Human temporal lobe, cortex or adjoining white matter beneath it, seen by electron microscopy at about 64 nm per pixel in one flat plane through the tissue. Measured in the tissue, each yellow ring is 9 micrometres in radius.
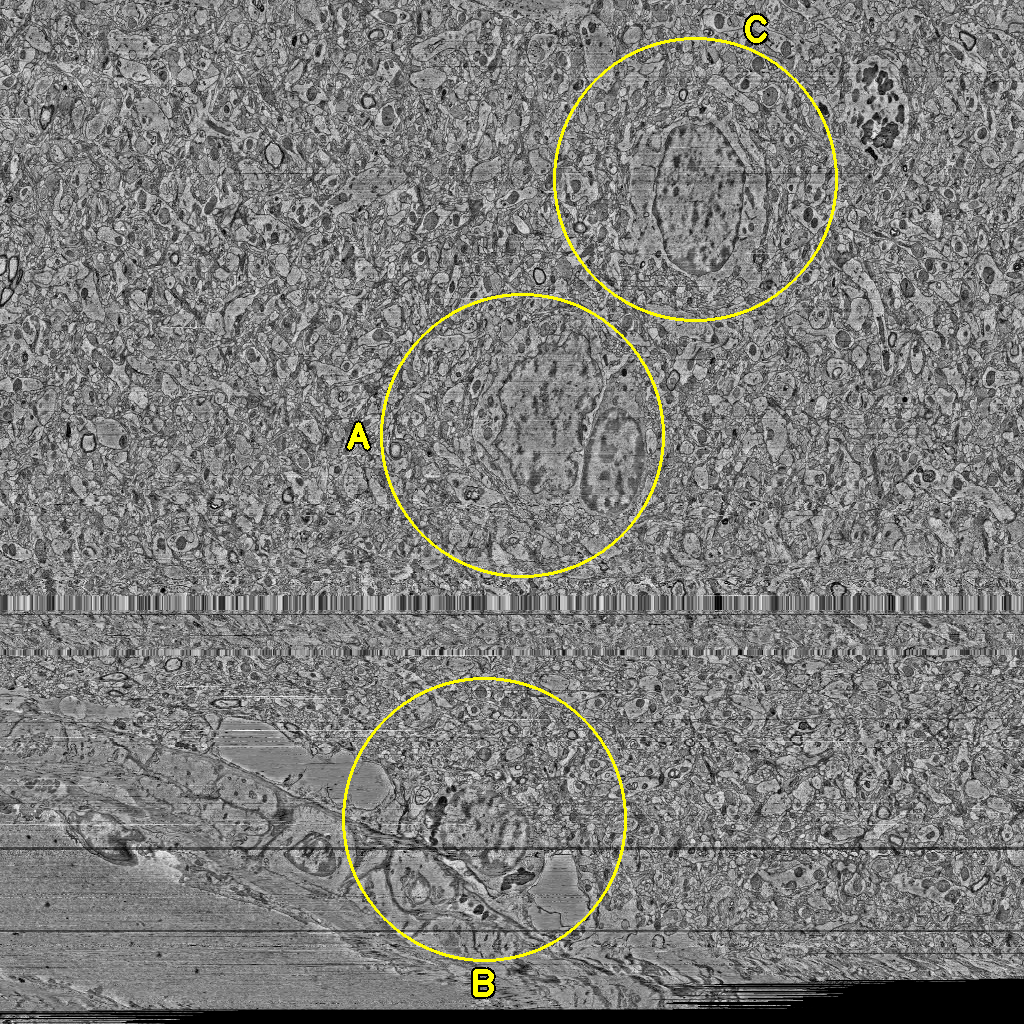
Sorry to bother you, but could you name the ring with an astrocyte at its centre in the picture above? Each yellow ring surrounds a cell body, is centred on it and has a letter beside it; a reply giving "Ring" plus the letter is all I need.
Ring C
